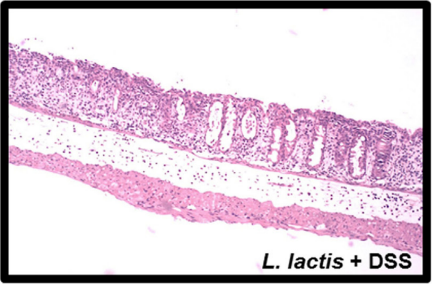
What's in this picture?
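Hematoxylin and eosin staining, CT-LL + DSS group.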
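This section of colon wall shows a mucosa whose crypt architecture is largely lost, with only a few irregular, partly dilated crypts remaining. Much of the mucosa is filled with densely packed, dark purple nuclei of infiltrating cells between the surviving crypts. Beneath the mucosa the submucosa is widened and loose, with scattered cells in its pale stroma. The pink smooth muscle layer lies at the bottom of the section.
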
